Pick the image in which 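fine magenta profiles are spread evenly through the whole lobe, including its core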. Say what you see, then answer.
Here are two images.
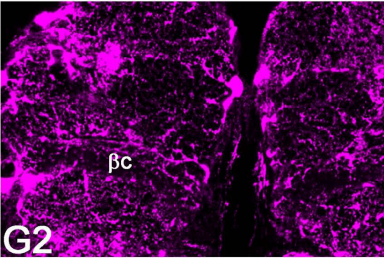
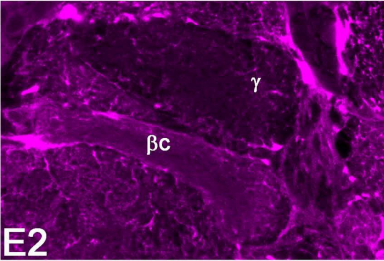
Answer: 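The first image. Second image: magenta profiles are sparser, and the lobe interior is largely dark apart from outlining strands.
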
